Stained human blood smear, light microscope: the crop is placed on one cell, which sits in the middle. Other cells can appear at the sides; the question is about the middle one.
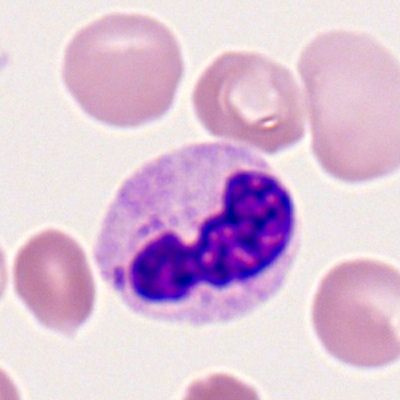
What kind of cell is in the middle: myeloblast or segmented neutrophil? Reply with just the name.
segmented neutrophil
